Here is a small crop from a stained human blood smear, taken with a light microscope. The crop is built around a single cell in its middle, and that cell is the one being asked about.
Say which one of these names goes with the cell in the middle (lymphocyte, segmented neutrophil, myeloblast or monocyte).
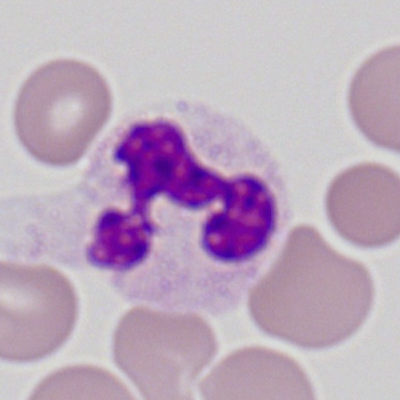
segmented neutrophil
